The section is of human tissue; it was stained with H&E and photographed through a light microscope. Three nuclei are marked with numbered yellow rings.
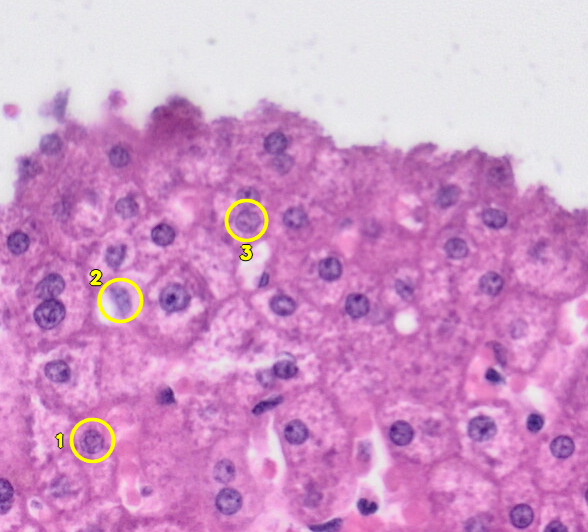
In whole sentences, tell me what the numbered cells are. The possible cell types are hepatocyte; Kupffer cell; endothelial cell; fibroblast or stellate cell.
Cell 1 is a hepatocyte, cell 2 is a Kupffer cell and cell 3 is a hepatocyte.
